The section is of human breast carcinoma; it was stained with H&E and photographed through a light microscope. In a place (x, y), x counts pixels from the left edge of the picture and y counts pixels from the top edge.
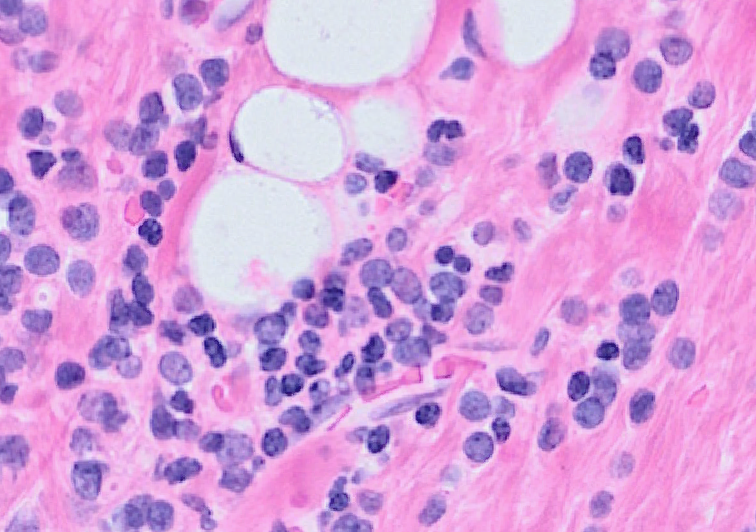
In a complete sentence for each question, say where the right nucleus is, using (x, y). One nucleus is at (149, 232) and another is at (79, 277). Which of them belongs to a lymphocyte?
Lying within a lymphocyte is the nucleus at (149, 232).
